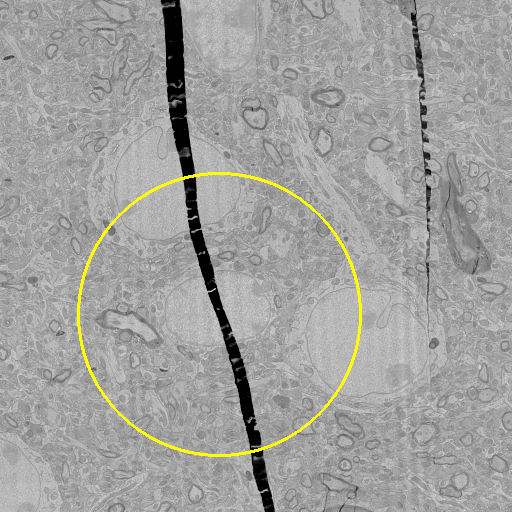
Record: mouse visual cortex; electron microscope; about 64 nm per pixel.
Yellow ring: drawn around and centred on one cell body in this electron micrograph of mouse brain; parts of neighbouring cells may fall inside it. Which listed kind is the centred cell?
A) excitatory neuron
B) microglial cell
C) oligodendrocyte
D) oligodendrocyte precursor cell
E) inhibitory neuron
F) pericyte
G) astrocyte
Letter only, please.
G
